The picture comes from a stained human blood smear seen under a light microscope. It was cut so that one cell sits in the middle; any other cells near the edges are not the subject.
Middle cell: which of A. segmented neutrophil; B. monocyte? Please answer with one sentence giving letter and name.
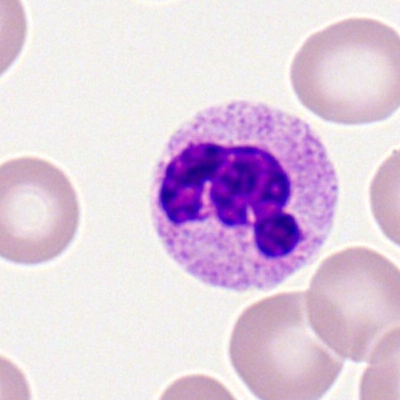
What option A states is correct, the central cell being a segmented neutrophil.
